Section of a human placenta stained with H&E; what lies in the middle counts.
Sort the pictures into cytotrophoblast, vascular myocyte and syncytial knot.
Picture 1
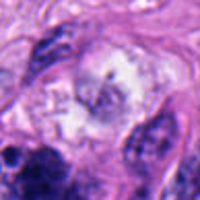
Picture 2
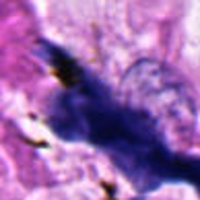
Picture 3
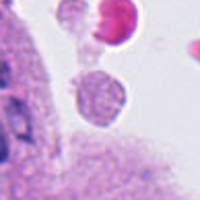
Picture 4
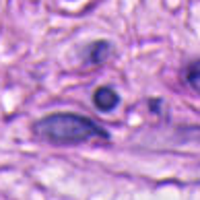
Cytotrophoblasts: 1, 3
Syncytial knots: 2
Vascular myocytes: 4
